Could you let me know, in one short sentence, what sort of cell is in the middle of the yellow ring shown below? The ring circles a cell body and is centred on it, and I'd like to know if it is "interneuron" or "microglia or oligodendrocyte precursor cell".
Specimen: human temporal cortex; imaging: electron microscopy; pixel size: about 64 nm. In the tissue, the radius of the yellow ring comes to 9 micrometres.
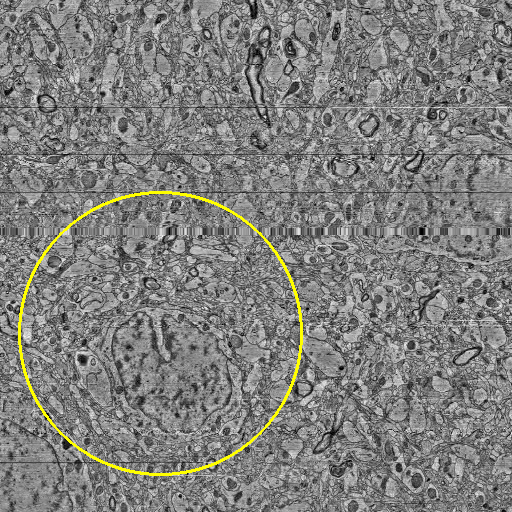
The ring circles the cell body of an interneuron.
